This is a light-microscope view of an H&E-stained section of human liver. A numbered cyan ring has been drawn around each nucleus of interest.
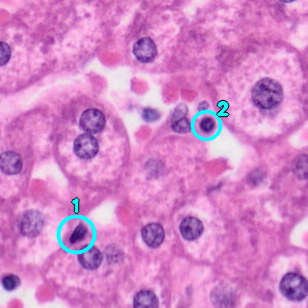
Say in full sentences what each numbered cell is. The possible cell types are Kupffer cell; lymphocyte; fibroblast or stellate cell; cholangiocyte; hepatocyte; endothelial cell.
Cell 1 is a fibroblast or stellate cell and cell 2 is a lymphocyte.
